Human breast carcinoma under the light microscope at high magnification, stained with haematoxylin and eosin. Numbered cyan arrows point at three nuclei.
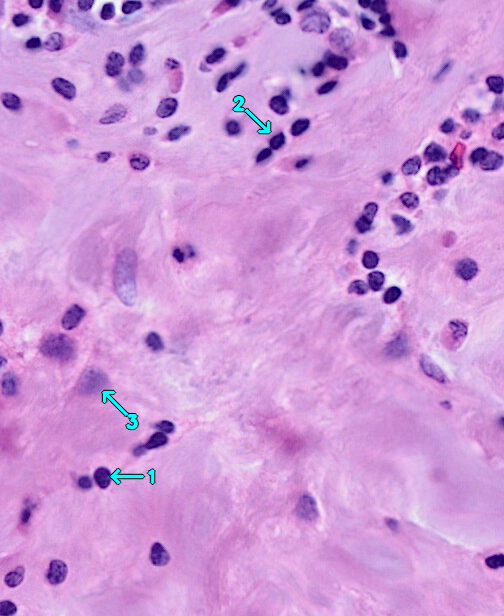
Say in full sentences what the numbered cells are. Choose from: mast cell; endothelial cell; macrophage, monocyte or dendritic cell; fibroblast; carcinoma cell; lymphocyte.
Cell 1 is a lymphocyte, cell 2 is a lymphocyte and cell 3 is a fibroblast.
